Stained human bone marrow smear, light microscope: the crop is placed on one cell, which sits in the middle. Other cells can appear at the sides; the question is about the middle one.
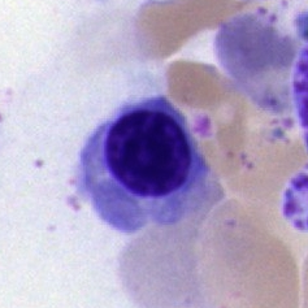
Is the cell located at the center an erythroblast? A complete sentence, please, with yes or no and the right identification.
Yes, within this crop, the central cell is an erythroblast.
